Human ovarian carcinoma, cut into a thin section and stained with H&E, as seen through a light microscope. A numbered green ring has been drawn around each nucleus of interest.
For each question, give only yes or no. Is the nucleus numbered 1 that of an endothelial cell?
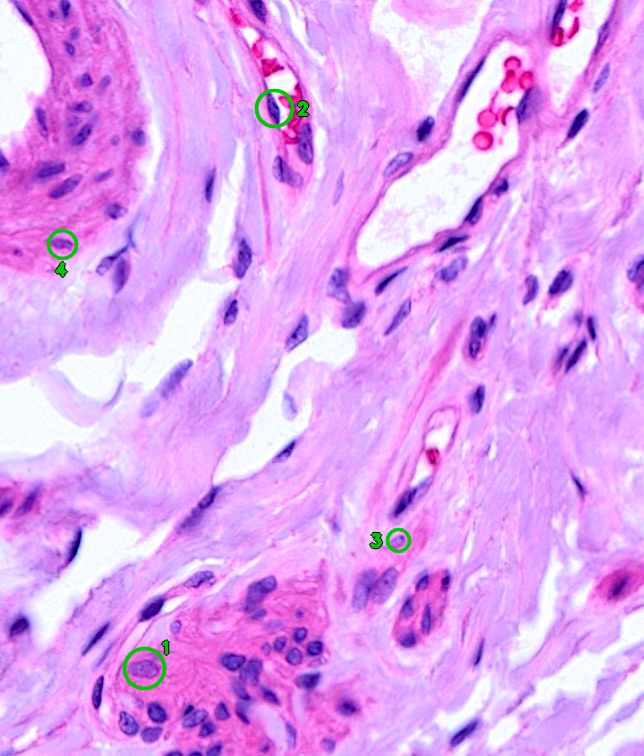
no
